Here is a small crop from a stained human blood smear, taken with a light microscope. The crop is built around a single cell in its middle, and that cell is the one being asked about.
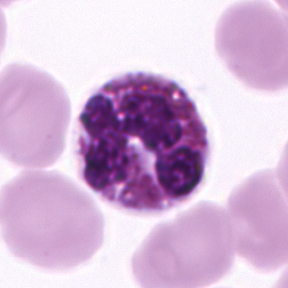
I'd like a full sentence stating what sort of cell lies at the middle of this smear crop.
The cell sitting right in the middle is an eosinophil.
